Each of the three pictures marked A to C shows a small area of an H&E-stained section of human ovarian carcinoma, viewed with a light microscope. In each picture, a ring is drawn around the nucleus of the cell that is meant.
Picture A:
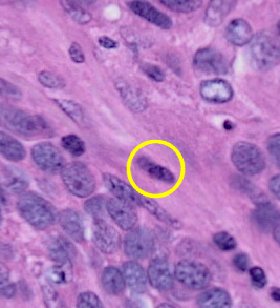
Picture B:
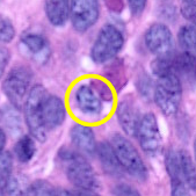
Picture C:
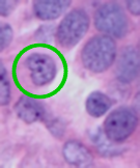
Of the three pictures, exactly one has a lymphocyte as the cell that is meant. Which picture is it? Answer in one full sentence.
The picture with the lymphocyte is A.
